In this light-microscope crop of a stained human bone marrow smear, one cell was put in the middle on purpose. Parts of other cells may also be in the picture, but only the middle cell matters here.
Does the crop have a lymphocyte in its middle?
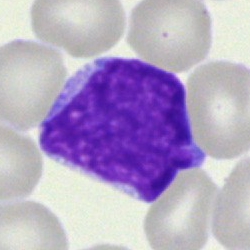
no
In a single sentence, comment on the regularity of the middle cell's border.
In outline, the cell is irregular, ragged in stretches or drawn into projections.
